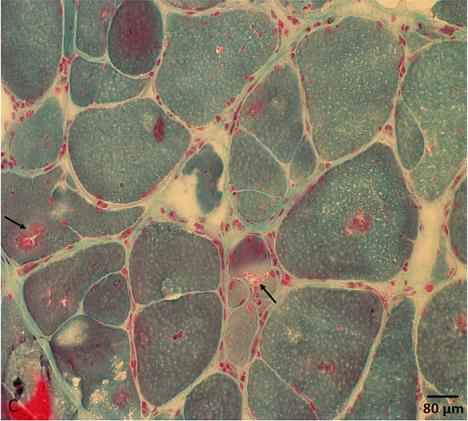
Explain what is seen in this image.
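Cross-section of skeletal muscle with green-stained fibers of unequal size, rounded in outline, set in pale connective tissue with red nuclei between them. Several fibers contain pale spaces rimmed with red granular material, and some show red deposits or inner nuclei.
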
